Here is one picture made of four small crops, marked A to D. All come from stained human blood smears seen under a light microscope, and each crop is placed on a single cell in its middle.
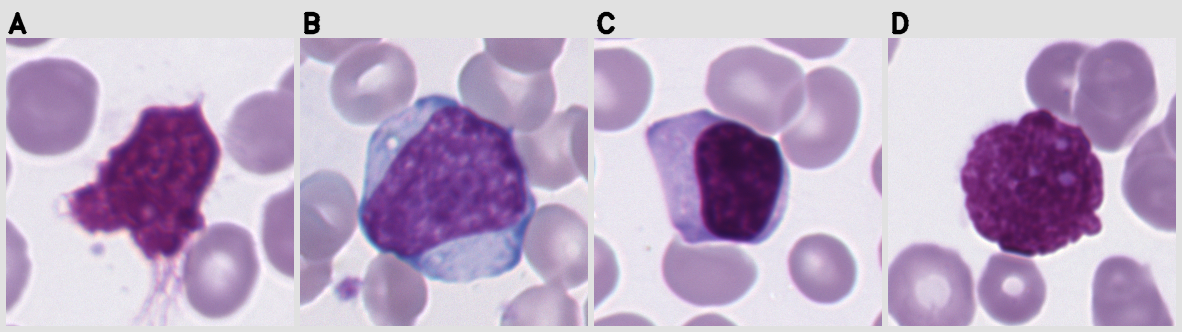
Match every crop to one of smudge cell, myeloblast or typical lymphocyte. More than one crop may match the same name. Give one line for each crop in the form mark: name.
A: smudge cell
B: myeloblast
C: typical lymphocyte
D: smudge cell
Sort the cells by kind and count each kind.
smudge cell: 2
myeloblast: 1
typical lymphocyte: 1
